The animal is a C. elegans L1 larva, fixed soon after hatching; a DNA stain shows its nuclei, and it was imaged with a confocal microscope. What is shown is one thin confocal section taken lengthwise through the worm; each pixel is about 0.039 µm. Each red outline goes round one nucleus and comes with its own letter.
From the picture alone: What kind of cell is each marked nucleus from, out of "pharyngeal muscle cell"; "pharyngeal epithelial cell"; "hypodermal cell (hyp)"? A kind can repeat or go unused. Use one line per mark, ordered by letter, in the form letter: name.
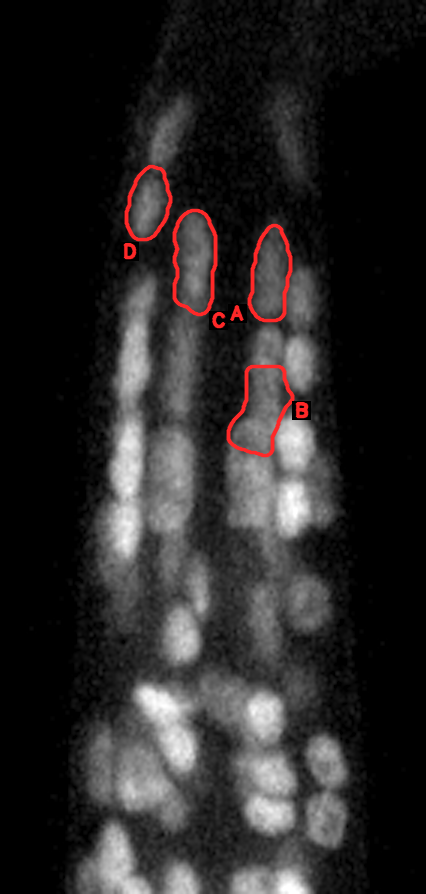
A: pharyngeal epithelial cell
B: pharyngeal muscle cell
C: pharyngeal epithelial cell
D: hypodermal cell (hyp)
